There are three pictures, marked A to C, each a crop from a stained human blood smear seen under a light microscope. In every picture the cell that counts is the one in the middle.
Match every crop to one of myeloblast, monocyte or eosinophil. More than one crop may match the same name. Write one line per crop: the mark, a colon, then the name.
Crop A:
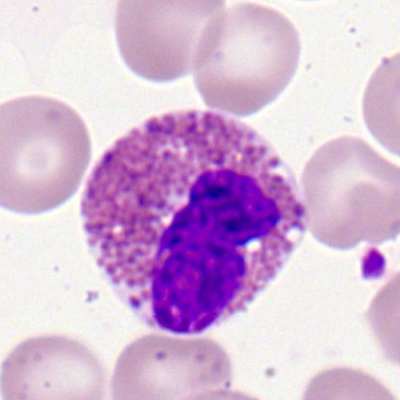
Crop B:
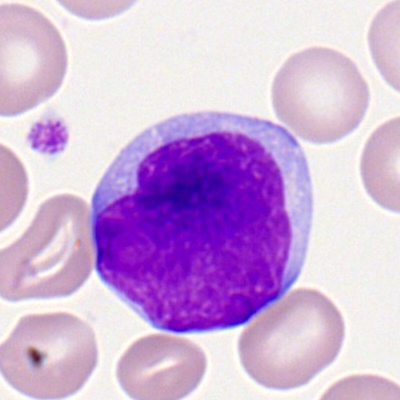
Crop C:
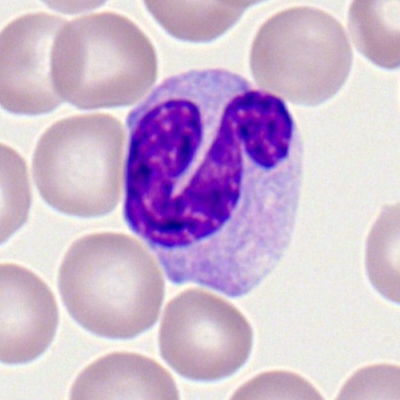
A: eosinophil
B: myeloblast
C: monocyte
